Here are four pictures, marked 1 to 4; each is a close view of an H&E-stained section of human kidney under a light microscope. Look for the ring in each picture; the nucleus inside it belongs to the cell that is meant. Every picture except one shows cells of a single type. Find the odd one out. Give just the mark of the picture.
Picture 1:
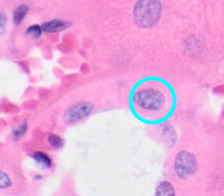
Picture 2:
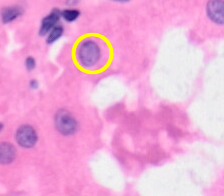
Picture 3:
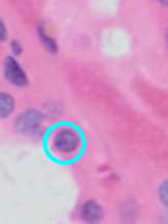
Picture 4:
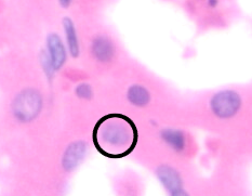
2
